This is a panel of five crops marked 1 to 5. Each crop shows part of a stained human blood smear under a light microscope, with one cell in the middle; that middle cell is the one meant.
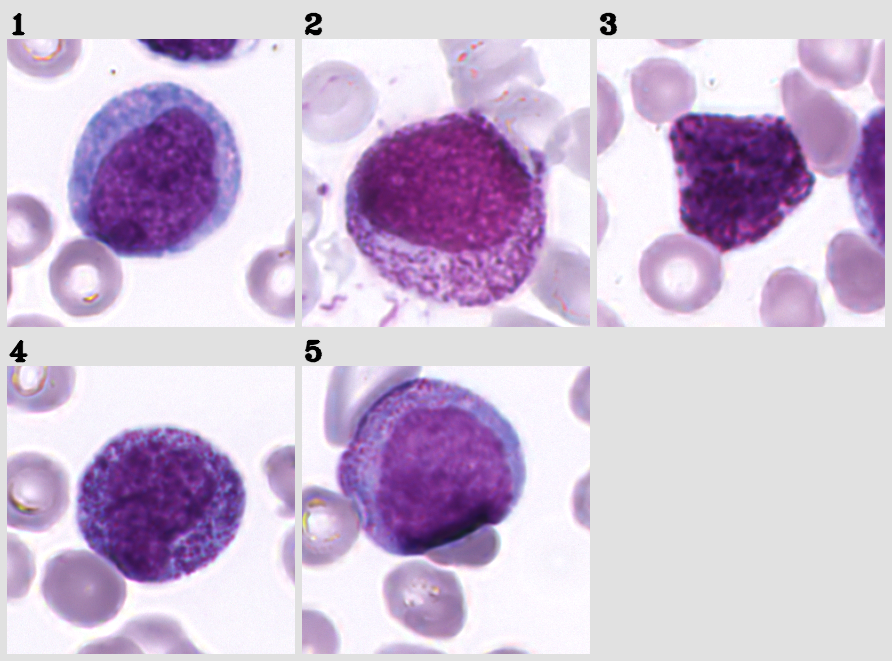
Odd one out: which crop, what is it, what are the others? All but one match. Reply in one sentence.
The single exception is crop 3, which is a basophil; all other crops show promyelocytes.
